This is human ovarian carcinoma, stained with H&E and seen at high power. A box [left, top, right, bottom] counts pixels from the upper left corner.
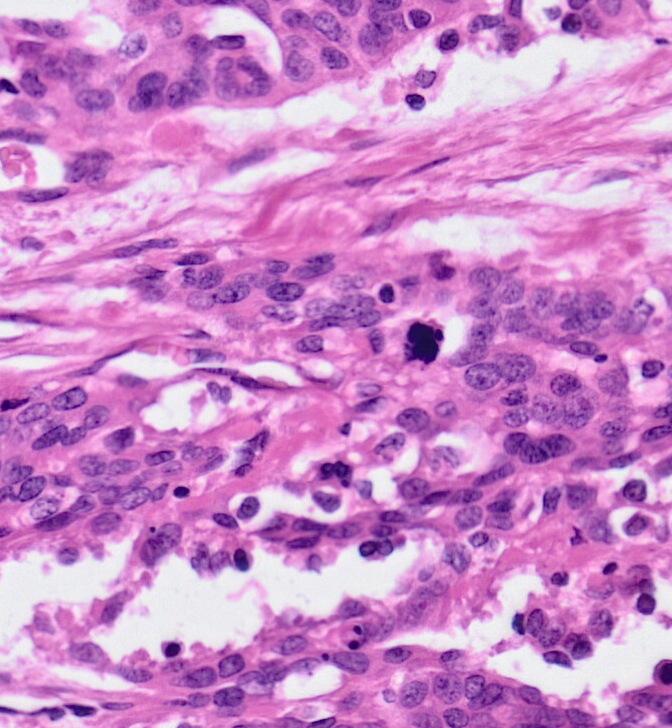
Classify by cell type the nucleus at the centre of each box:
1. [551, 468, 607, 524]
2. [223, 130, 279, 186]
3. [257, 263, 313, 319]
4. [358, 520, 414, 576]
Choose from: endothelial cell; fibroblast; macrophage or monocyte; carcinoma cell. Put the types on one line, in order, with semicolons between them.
carcinoma cell; fibroblast; carcinoma cell; carcinoma cell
